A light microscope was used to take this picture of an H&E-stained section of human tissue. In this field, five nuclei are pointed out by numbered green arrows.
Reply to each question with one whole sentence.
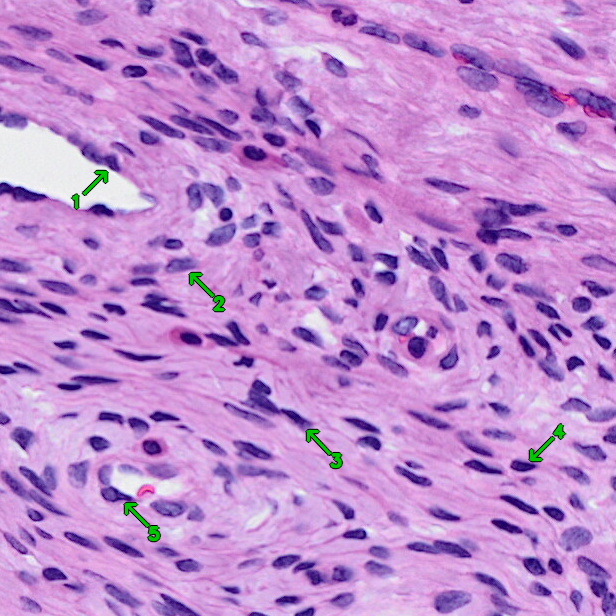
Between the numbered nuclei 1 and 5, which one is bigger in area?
Nucleus 5 is larger, with an area about 2 times that of nucleus 1.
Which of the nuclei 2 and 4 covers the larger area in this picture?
Nucleus 2 covers more area, about 2 times as much as nucleus 4.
